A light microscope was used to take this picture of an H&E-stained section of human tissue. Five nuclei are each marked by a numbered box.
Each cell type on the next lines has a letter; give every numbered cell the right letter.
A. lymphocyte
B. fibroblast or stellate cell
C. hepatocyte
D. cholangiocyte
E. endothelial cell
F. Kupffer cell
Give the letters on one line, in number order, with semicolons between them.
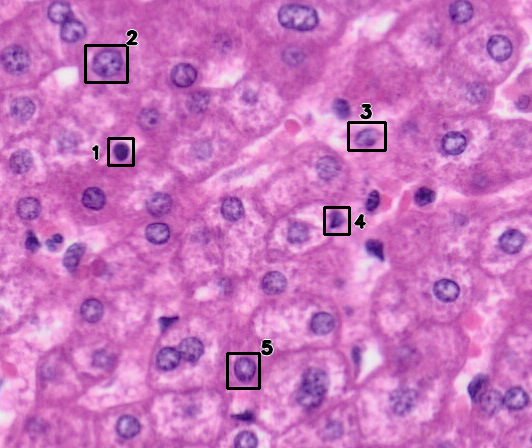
A; C; F; B; C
